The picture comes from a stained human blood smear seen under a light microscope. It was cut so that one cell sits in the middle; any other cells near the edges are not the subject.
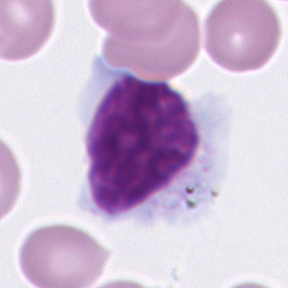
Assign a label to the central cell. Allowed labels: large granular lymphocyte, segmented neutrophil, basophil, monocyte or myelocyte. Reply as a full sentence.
The central cell, amid any neighbouring cells, is a large granular lymphocyte.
